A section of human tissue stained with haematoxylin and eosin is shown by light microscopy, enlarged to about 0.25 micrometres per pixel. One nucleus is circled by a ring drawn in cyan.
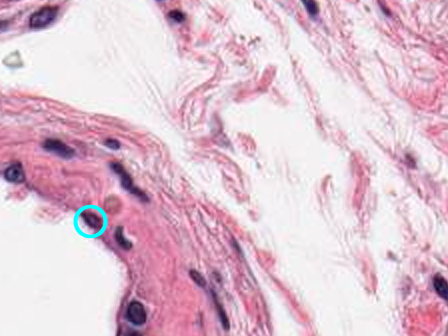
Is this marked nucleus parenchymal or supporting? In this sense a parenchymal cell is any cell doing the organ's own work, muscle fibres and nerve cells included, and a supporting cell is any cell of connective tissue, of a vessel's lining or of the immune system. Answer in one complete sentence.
The marked nucleus is found in a supporting cell.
